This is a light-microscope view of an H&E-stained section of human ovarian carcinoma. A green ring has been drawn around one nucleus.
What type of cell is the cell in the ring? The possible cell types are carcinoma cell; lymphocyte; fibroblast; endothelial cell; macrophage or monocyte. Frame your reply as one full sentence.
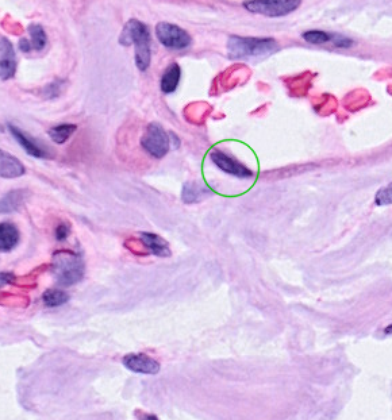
Within this tissue, the cell in the ring is an endothelial cell.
